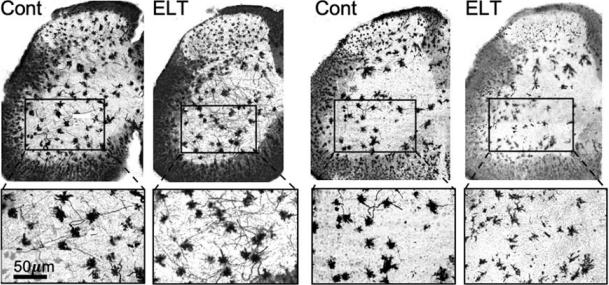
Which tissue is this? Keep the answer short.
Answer: Spinal cord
